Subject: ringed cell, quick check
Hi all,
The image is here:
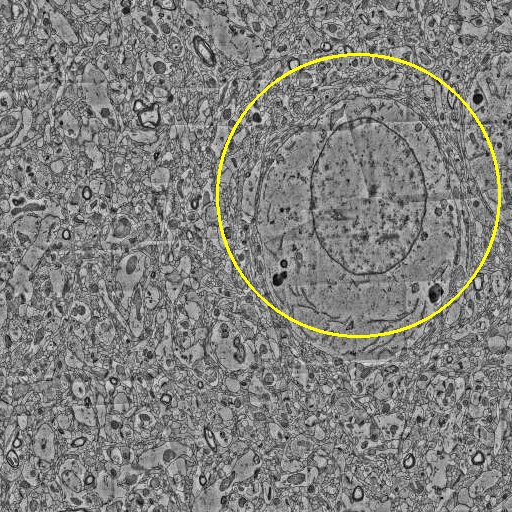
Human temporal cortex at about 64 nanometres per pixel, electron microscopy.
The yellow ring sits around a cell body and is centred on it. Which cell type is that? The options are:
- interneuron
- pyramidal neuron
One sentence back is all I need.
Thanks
That ringed cell is a pyramidal neuron.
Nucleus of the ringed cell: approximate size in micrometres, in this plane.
In this plane, approximately 10 by 8 micrometers.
